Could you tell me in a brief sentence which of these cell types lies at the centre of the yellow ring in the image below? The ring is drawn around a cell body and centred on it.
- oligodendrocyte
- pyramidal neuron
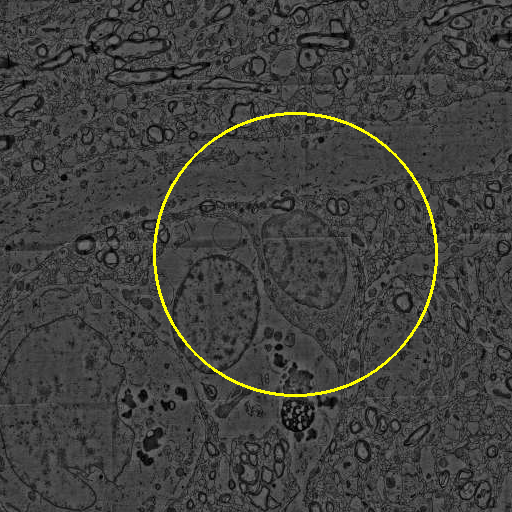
The cell centred in the ring is an oligodendrocyte.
